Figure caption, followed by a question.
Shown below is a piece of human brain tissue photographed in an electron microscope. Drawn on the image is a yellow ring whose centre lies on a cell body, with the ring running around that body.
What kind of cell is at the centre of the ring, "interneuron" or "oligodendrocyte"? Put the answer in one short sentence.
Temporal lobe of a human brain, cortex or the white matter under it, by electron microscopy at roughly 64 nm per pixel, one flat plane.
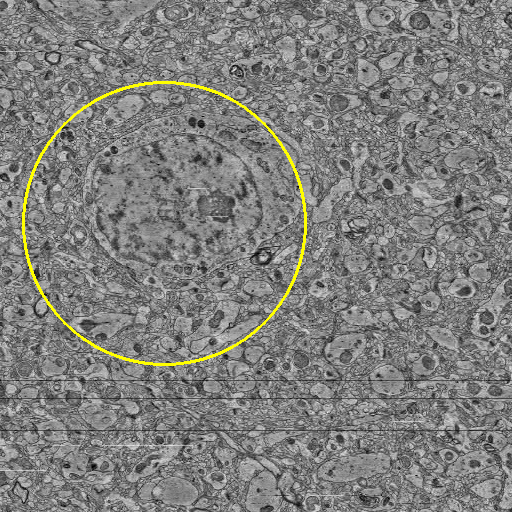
The ring marks the cell body of an interneuron.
